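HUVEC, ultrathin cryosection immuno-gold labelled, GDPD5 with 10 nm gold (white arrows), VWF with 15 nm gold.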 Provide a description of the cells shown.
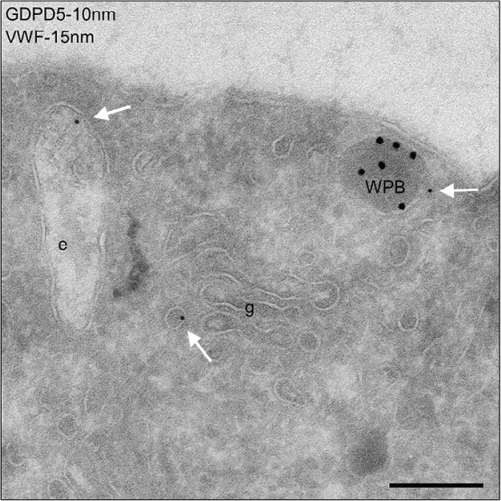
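On the right lies a round, evenly grey, membrane-bound storage granule carrying several large black dots in its interior, while a single small black dot sits at its rim. In the centre a stack of flattened, curved membrane cisternae forms a Golgi apparatus, with small round vesicles nearby, one of them carrying a small dot. On the left a pale, elongated membrane-bound compartment, an endosome, shows a small dot near its membrane. The surrounding cytoplasm is finely granular with scattered small vesicles.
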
